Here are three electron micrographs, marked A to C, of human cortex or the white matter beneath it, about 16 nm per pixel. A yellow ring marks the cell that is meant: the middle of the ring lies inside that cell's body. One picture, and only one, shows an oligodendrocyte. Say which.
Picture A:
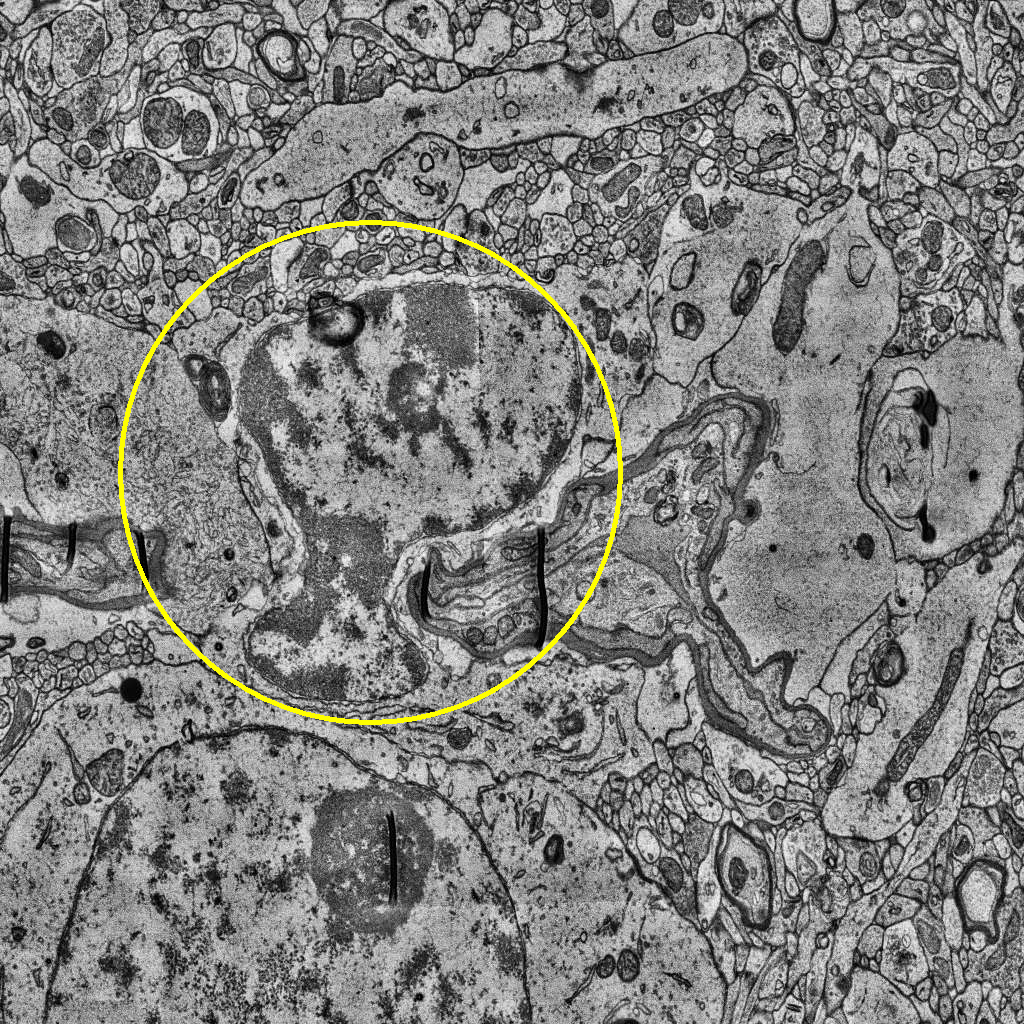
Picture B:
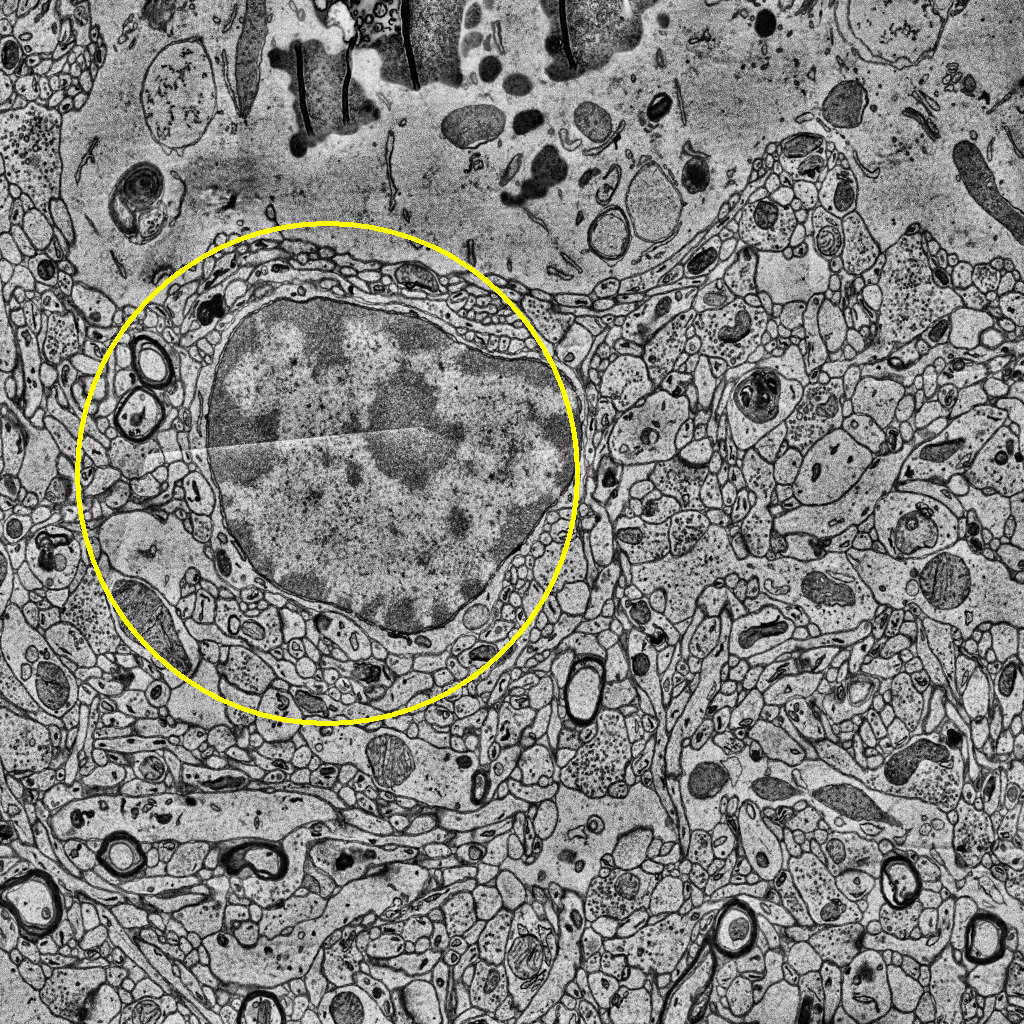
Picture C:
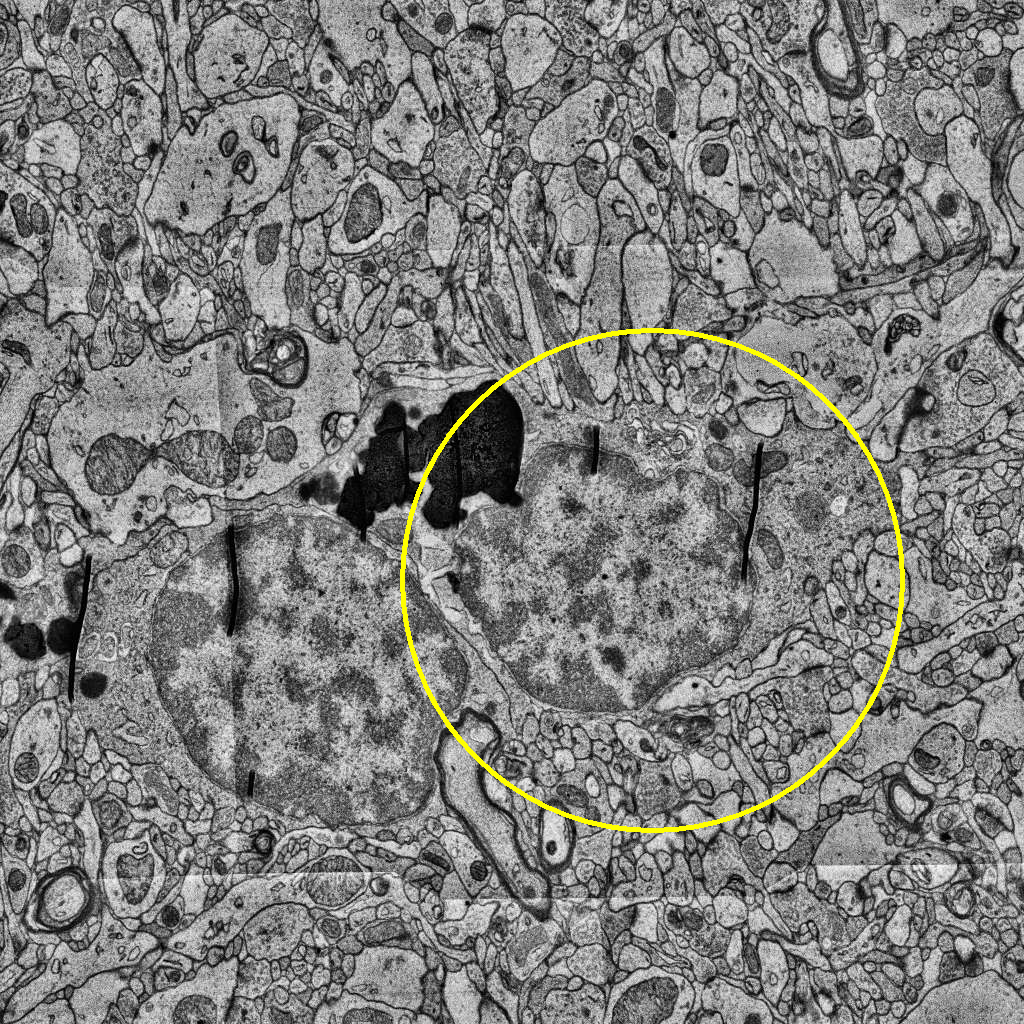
Picture C is the one that shows the oligodendrocyte.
